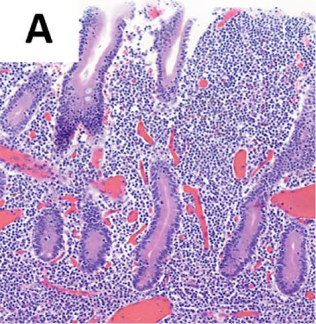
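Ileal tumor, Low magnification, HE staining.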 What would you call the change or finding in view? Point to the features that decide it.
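Sheets of small round dark nuclei fill the space between the crypts. The infiltrate looks uniform throughout the field. Crypts are separated and pushed apart by the cellular sheet. So: diffuse, and monomorphic infiltrate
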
